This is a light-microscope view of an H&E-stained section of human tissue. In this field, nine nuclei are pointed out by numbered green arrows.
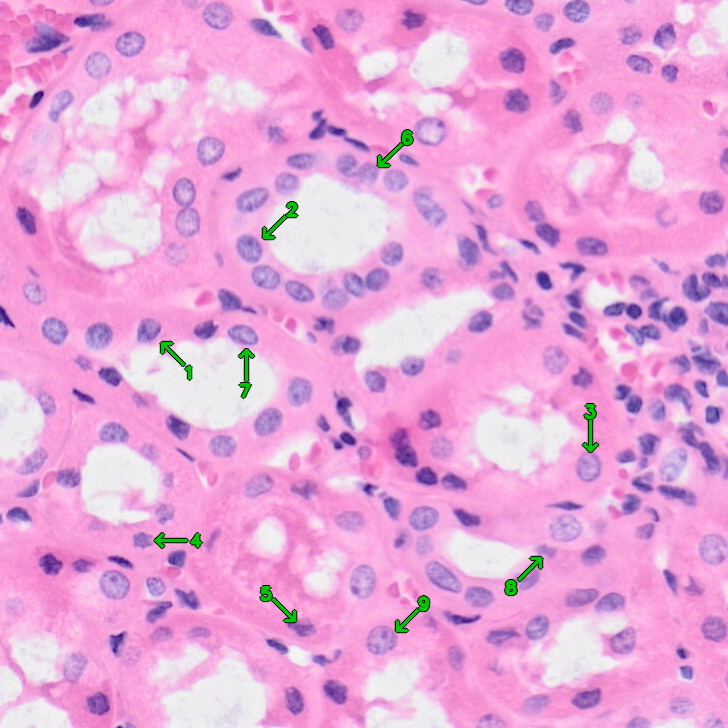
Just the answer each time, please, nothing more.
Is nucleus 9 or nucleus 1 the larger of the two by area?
9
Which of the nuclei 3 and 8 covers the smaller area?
8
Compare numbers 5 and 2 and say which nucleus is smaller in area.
5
